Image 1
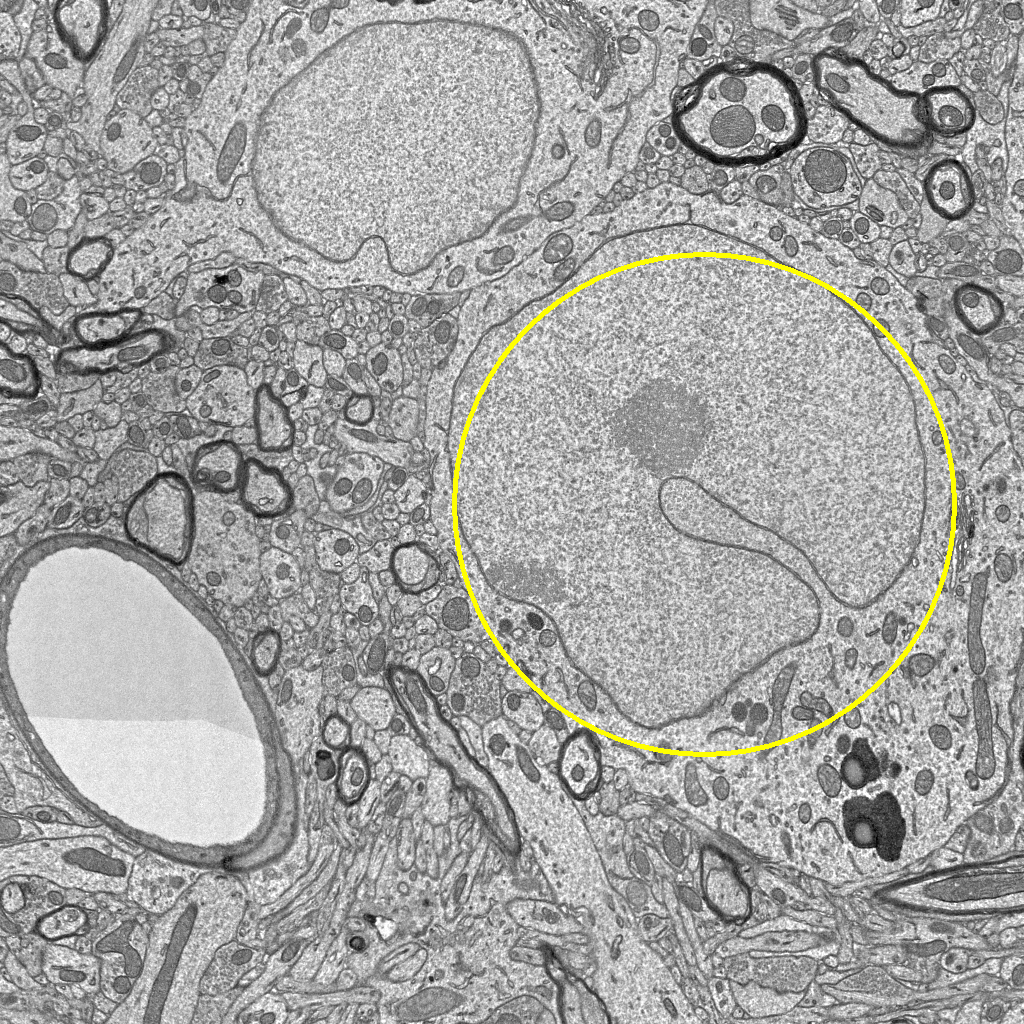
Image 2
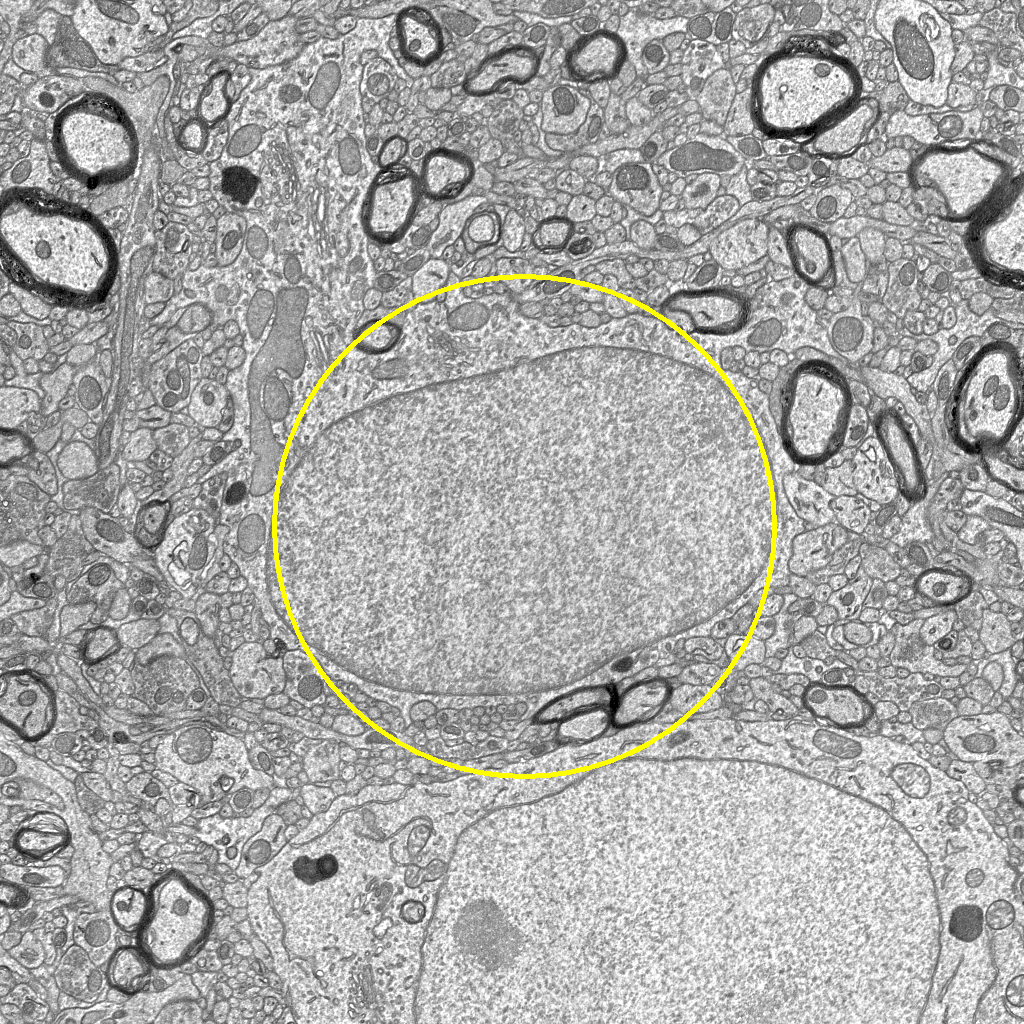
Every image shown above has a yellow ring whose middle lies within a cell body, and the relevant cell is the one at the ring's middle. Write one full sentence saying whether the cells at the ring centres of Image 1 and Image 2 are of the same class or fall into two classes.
The cell at the ring's centre in Image 1 and its counterpart in Image 2 fall into two classes.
